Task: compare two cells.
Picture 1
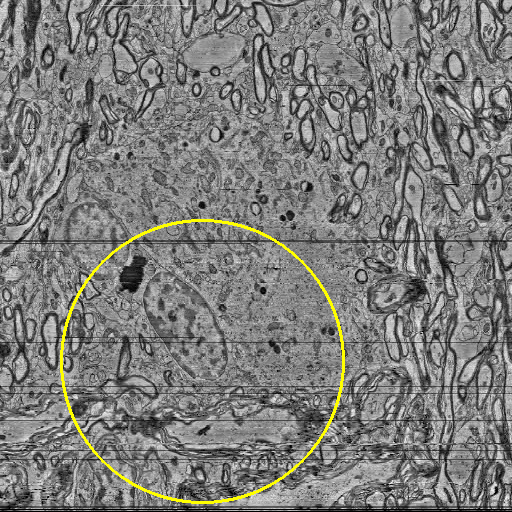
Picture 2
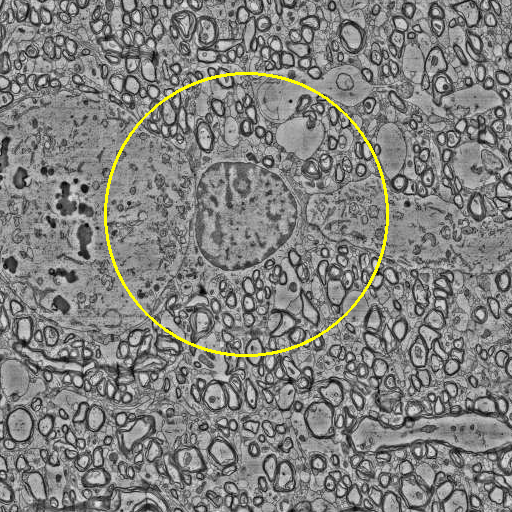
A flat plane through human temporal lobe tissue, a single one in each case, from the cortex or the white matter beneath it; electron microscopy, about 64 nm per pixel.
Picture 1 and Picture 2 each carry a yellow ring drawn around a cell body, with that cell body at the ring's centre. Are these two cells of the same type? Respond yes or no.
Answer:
yes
